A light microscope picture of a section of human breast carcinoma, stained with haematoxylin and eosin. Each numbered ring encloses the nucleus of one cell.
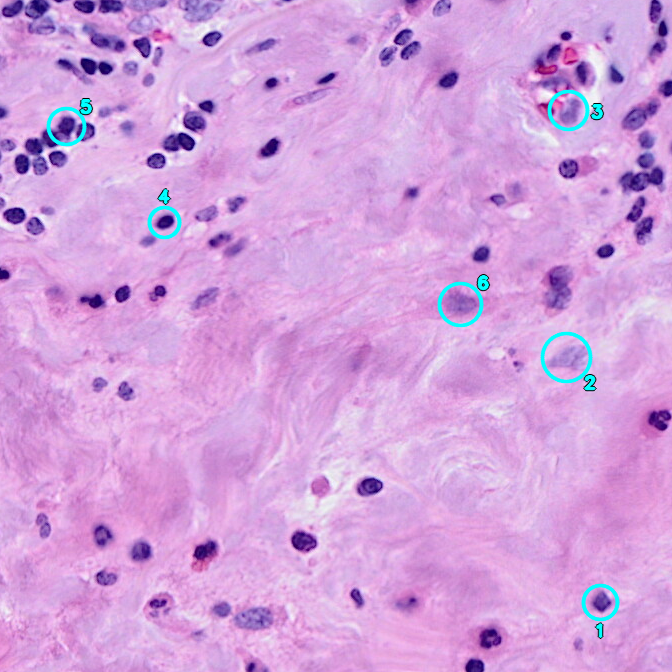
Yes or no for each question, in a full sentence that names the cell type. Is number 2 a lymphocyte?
No, the cell that carries number 2 is a fibroblast, not a lymphocyte.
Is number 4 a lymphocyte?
Yes, that one, number 4, is a lymphocyte.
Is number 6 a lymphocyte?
No, the cell that carries number 6 is a fibroblast, not a lymphocyte.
